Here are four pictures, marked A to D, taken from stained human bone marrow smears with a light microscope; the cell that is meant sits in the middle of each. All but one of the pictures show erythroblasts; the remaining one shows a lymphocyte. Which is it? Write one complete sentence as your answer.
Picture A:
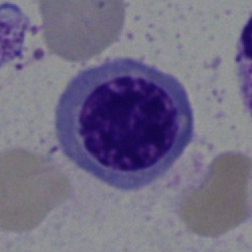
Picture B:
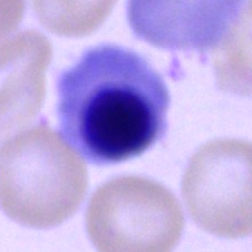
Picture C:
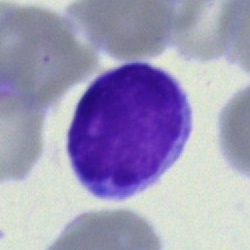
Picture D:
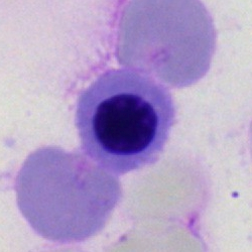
Picture C shows the lymphocyte.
